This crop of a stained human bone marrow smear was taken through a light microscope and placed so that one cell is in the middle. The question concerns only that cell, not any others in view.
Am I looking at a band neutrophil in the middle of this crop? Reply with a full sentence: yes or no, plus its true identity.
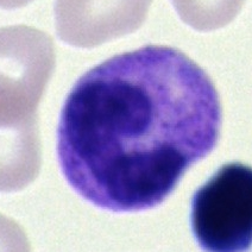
Yes, that is a band neutrophil in the middle of the crop.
